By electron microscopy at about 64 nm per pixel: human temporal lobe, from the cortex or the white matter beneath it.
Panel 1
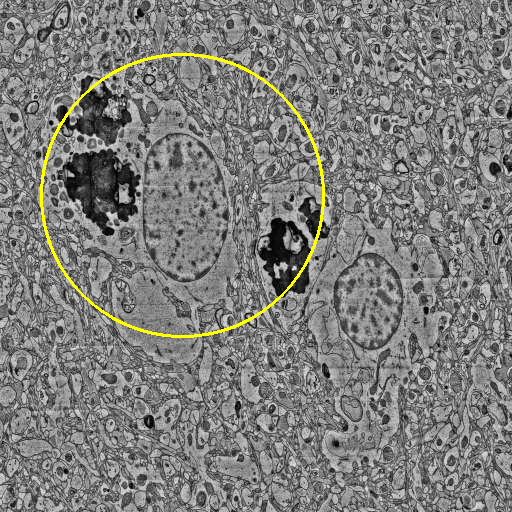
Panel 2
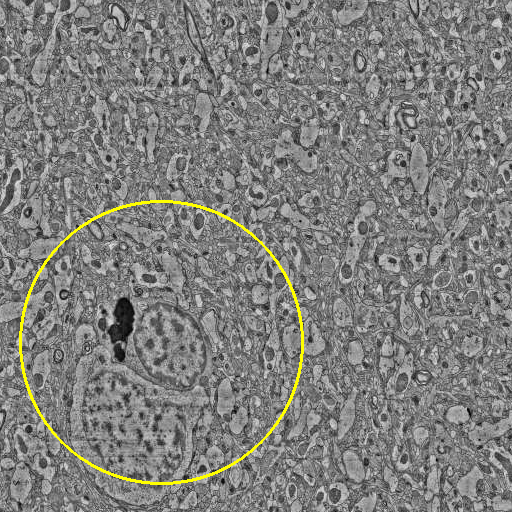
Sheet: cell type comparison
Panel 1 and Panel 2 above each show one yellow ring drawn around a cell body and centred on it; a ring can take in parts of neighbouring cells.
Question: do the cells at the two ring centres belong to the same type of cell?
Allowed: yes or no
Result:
no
